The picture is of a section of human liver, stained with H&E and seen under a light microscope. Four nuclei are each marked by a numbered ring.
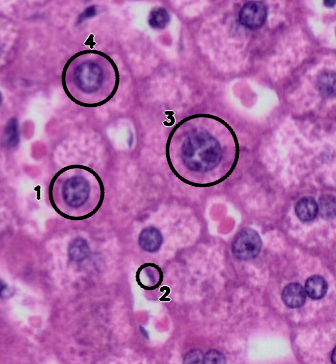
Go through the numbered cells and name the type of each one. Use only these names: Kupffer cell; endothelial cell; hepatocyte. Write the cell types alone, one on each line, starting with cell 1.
hepatocyte
endothelial cell
hepatocyte
hepatocyte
